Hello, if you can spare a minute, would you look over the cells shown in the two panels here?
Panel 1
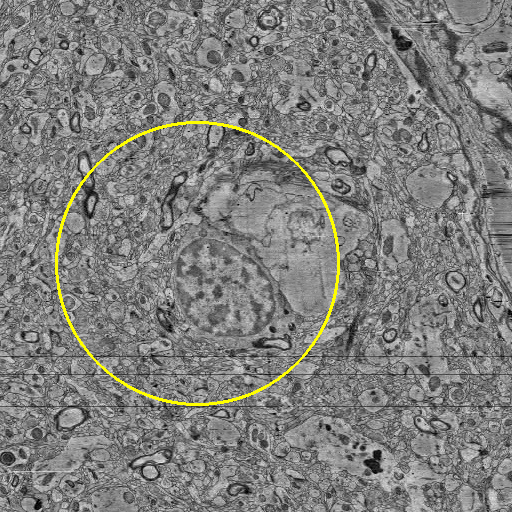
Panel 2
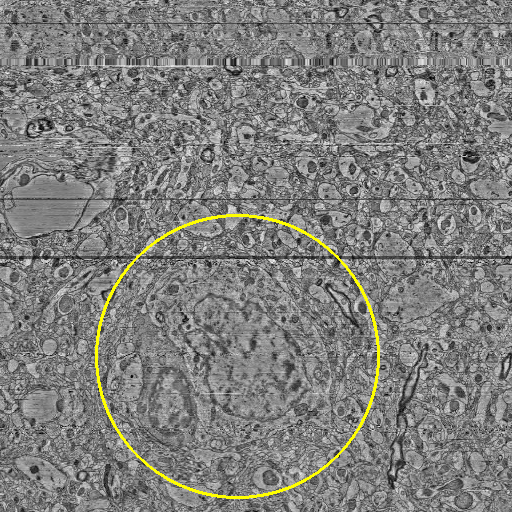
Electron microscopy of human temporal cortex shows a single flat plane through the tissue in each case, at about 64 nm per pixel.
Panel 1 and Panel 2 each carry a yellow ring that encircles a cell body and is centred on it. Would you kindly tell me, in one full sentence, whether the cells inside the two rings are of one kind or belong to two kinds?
The cells at the centres of the rings in Panel 1 and Panel 2 belong to two kinds.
